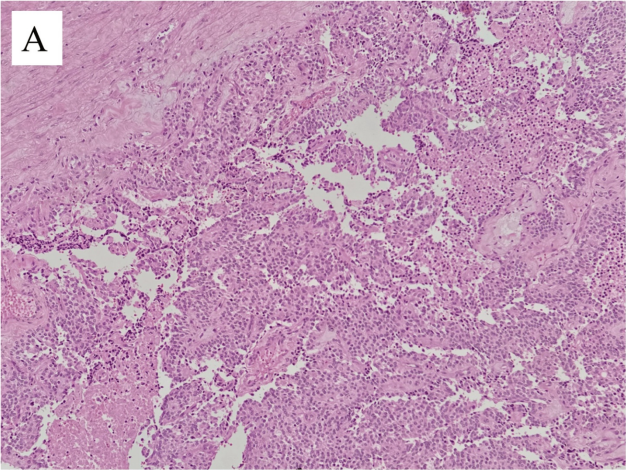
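This low-power view shows a cellular tumor that grows in solid sheets and in pseudopapillary arrangements. Crowded, uniform cells with purple nuclei form broad sheets. In places they fall apart into loose groups around thin fibrovascular cores, and irregular clefts and empty spaces lie between them. Pale pink collagenous stroma borders the tumor at the upper left. Scattered pink, less cellular areas lie among the tumor cells.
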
